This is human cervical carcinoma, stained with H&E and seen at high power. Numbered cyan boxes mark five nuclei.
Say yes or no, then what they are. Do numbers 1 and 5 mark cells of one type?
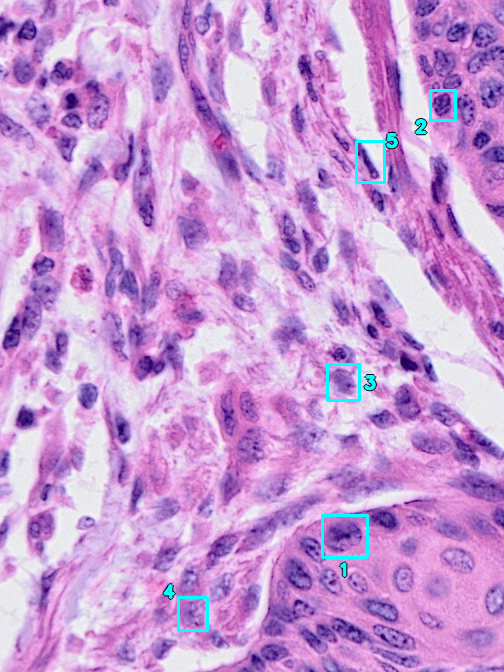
No, the cell tagged 1 is a squamous carcinoma cell, whereas the cell tagged 5 is a fibroblast.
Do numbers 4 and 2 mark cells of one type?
No, the proper labels are an endothelial cell for cell 4 and a squamous carcinoma cell for cell 2.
